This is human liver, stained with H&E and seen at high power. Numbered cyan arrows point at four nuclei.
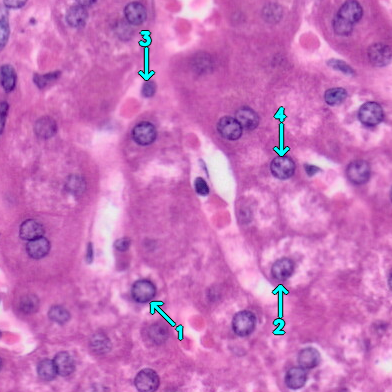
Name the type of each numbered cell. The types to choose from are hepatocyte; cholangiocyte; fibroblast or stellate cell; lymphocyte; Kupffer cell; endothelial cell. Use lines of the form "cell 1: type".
cell 1: hepatocyte
cell 2: hepatocyte
cell 3: lymphocyte
cell 4: hepatocyte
